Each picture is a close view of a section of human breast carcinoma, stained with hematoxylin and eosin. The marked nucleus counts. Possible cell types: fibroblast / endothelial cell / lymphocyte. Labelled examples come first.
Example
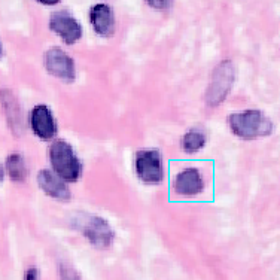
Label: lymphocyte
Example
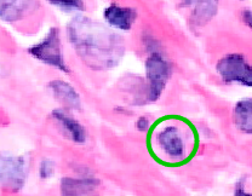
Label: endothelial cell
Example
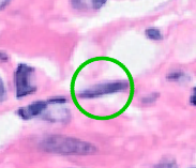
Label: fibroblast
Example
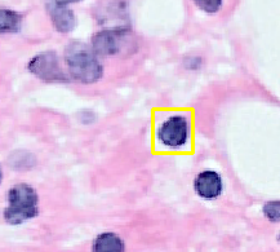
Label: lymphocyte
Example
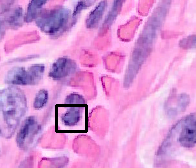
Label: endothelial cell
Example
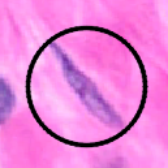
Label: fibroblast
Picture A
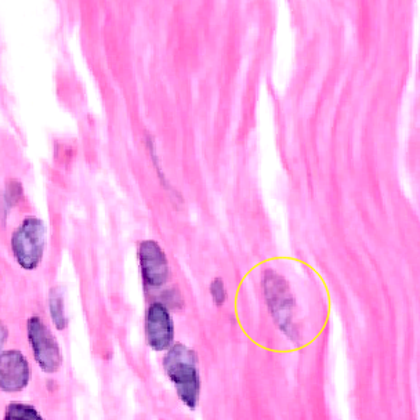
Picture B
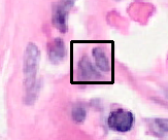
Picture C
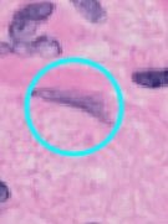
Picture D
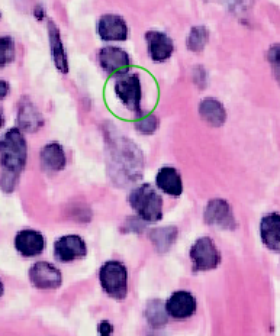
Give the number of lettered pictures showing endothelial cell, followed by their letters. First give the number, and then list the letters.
1: B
